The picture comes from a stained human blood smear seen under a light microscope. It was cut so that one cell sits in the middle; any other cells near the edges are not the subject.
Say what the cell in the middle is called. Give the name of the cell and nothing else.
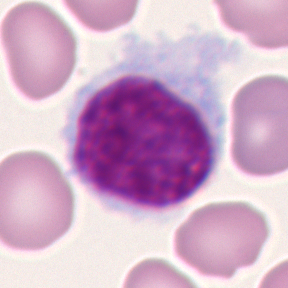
hairy cell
